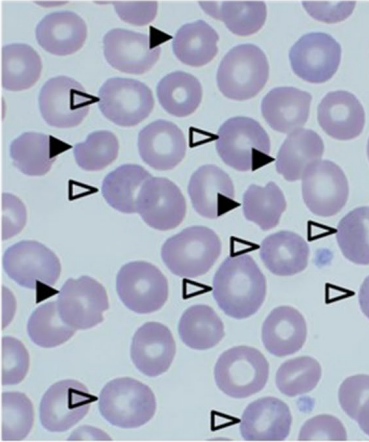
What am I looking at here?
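Peripheral blood smear showing red blood cells, most of them round with a pale centre. Several red cells have a notched, bitten-off edge (bite cells), and others contain fine dark purple dots scattered through the cell (basophilic stippling). A few small purple platelets lie between the red cells.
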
